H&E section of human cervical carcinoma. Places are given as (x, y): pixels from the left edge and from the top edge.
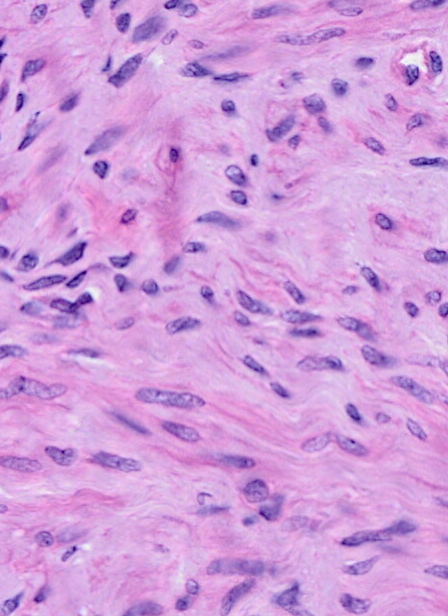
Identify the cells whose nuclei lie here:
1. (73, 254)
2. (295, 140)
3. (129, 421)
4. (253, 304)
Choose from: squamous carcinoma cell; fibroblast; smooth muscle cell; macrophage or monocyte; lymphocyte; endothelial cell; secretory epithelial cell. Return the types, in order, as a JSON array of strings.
["fibroblast", "smooth muscle cell", "smooth muscle cell", "smooth muscle cell"]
